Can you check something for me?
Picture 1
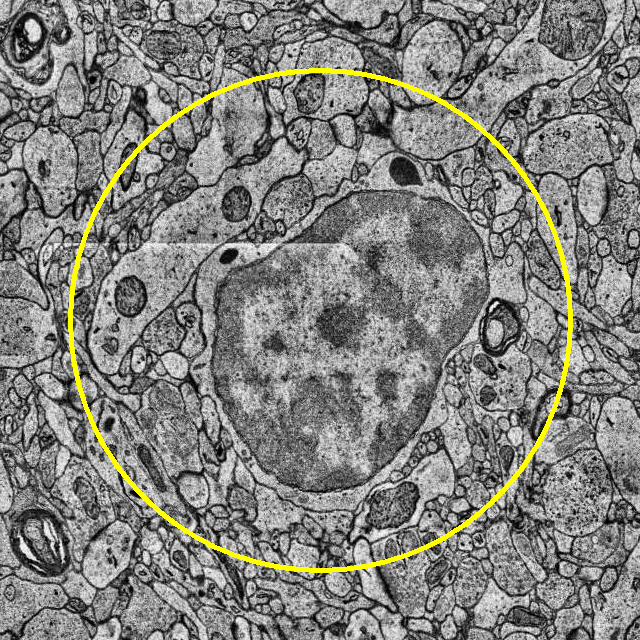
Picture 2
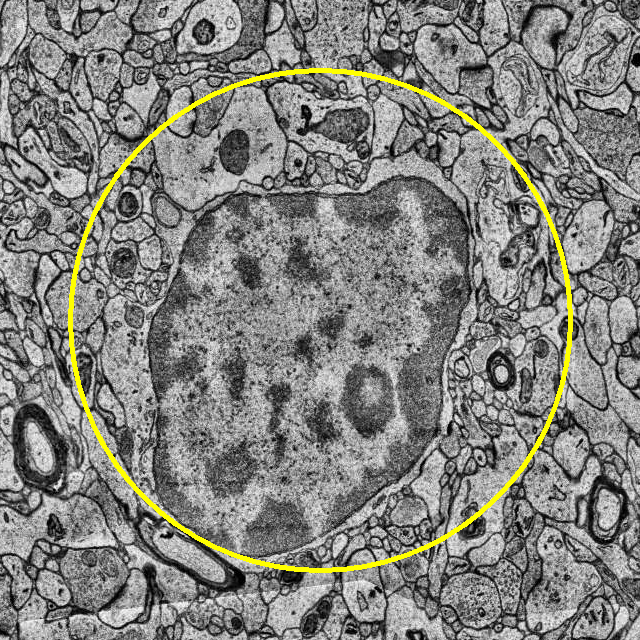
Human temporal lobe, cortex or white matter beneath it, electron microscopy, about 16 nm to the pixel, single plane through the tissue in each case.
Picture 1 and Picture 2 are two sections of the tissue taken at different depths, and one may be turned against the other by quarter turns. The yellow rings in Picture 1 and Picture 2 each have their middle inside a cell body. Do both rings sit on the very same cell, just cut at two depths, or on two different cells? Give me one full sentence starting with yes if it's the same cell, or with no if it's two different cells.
Yes, what the two rings mark is one cell.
